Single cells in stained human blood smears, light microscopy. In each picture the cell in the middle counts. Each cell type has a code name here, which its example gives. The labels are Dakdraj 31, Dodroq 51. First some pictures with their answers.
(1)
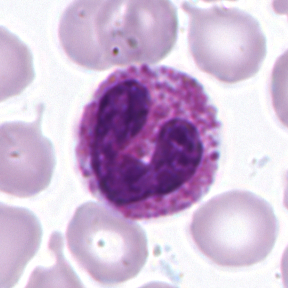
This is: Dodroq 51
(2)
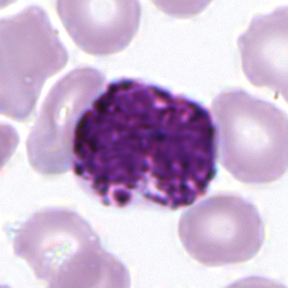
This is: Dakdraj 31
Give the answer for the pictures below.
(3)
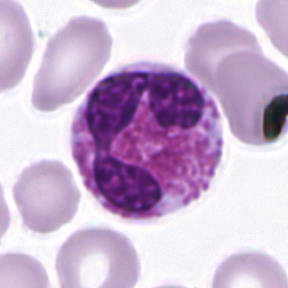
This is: Dodroq 51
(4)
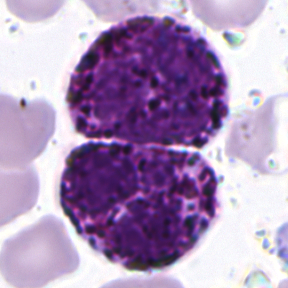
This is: Dakdraj 31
